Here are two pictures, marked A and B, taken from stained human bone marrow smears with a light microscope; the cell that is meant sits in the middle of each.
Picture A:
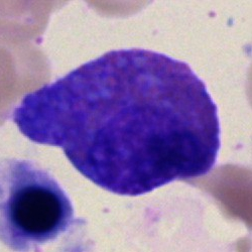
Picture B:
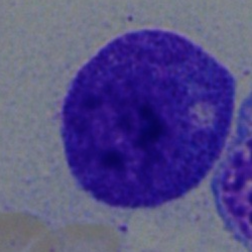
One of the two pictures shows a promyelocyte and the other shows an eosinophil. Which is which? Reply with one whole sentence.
It is picture A that shows an eosinophil, and picture B that shows a promyelocyte.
